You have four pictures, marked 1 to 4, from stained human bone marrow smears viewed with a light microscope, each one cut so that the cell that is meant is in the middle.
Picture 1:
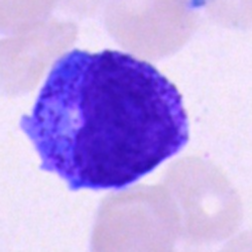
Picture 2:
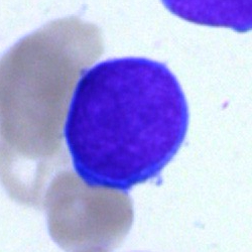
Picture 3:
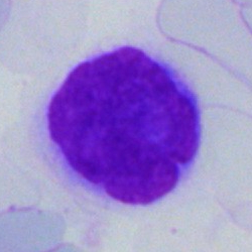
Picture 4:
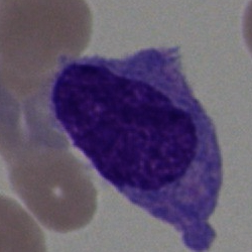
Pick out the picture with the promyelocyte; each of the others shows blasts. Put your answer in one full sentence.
The picture with the promyelocyte is 1.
